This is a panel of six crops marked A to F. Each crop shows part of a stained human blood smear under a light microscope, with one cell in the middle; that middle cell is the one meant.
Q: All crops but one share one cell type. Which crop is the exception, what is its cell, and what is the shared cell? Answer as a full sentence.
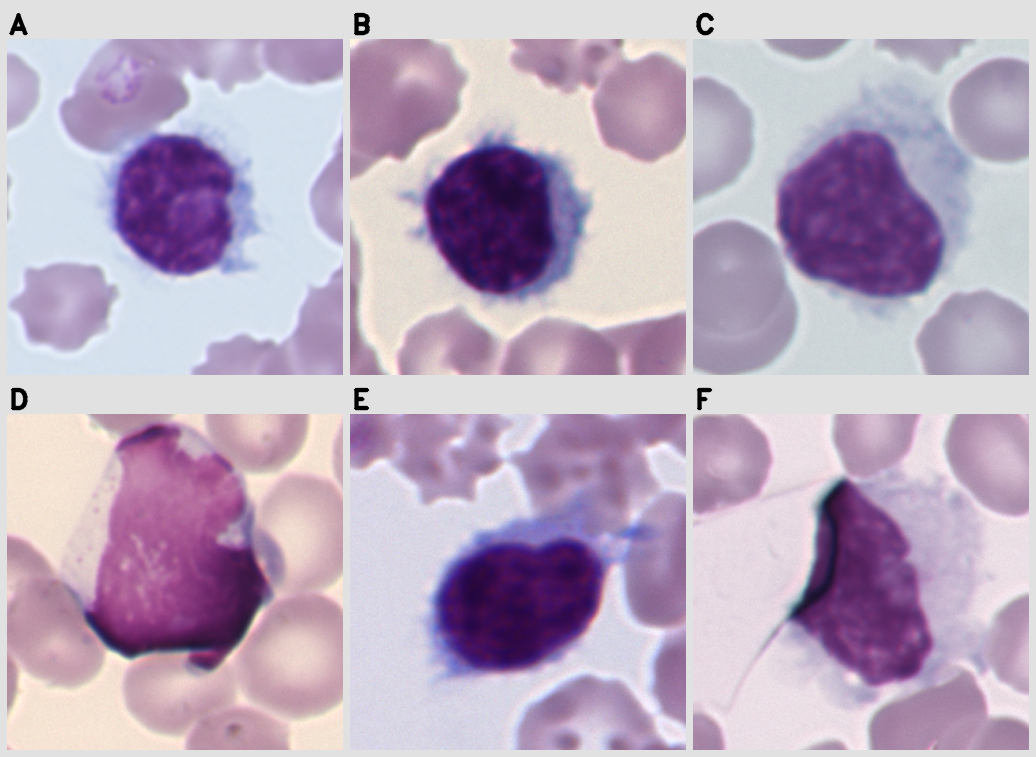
Crop D, showing a large granular lymphocyte, is the exception; the others all show hairy cells.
